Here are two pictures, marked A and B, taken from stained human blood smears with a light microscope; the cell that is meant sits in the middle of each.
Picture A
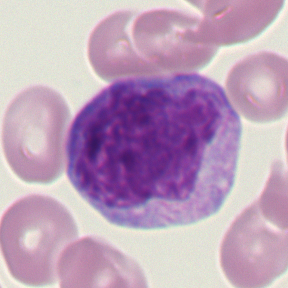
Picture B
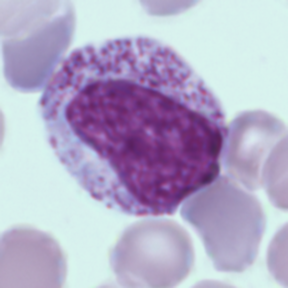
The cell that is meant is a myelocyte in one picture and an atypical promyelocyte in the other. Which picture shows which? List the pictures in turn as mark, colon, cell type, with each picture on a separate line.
A: atypical promyelocyte
B: myelocyte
